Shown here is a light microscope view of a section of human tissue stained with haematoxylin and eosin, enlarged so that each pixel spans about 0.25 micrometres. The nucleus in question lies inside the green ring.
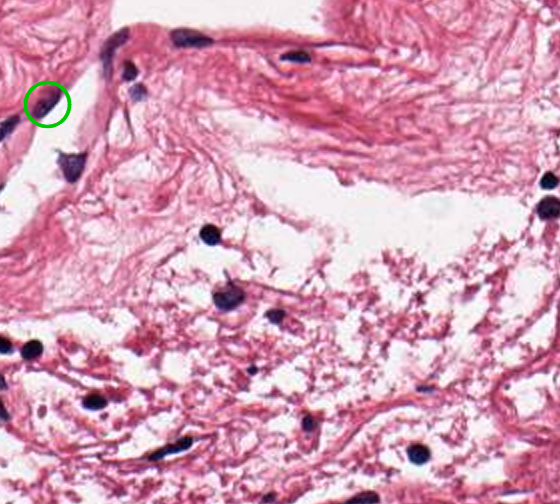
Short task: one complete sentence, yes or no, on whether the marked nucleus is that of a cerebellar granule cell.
No, it is to a supporting cell that the marked nucleus belongs, not to a cerebellar granule cell.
